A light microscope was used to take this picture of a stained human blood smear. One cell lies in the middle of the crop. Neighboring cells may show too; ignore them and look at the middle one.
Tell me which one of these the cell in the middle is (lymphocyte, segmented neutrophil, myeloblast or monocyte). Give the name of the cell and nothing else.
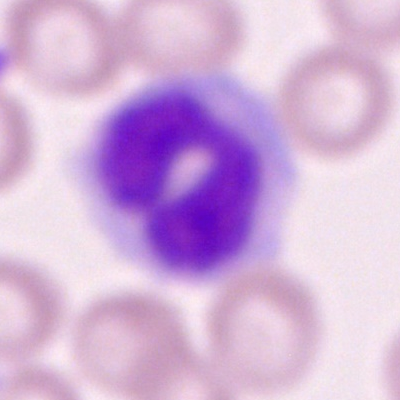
monocyte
